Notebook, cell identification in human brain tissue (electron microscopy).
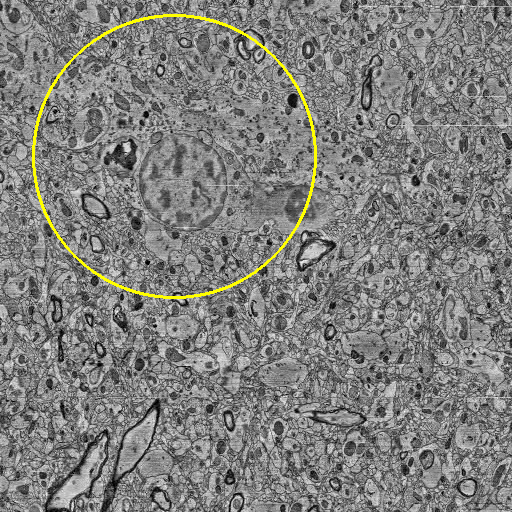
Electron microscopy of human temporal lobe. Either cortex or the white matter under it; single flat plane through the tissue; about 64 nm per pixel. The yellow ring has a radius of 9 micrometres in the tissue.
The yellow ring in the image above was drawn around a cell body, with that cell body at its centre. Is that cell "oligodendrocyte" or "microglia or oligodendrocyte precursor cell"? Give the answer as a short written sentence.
The cell in the ring is an oligodendrocyte.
